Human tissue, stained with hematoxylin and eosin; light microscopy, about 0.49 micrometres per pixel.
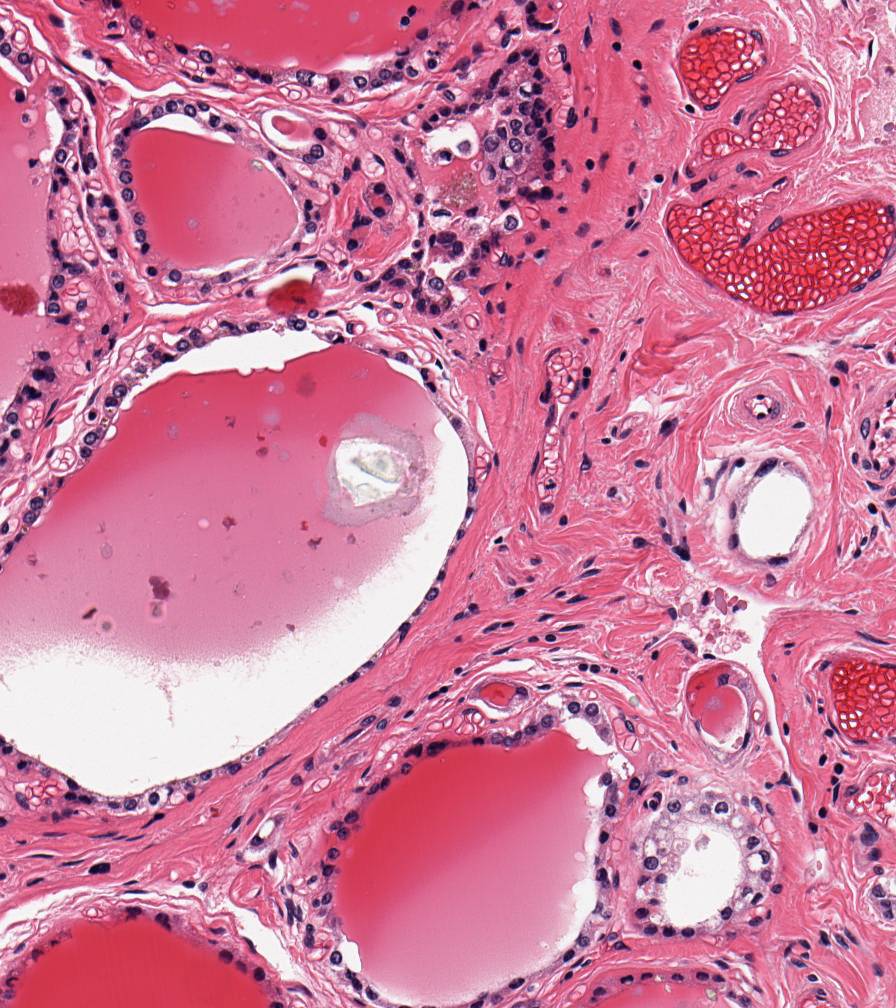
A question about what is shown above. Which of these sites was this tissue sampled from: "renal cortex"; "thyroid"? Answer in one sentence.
The site this tissue was sampled from is the thyroid.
